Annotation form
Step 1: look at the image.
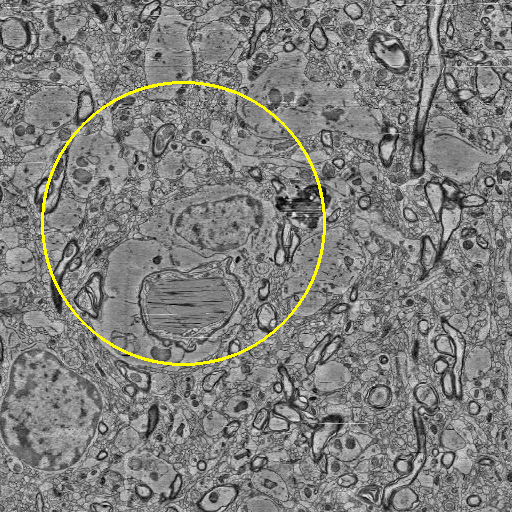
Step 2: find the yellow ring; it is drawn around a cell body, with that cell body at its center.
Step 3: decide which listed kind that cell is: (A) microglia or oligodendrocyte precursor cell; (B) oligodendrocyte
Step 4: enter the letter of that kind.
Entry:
A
